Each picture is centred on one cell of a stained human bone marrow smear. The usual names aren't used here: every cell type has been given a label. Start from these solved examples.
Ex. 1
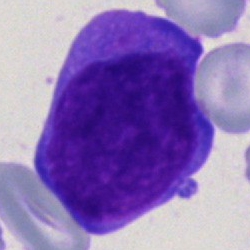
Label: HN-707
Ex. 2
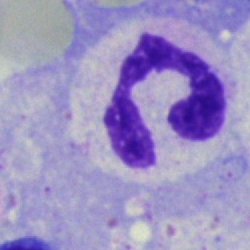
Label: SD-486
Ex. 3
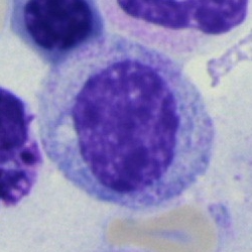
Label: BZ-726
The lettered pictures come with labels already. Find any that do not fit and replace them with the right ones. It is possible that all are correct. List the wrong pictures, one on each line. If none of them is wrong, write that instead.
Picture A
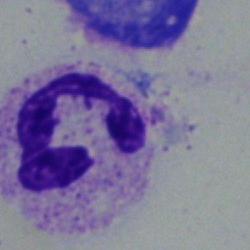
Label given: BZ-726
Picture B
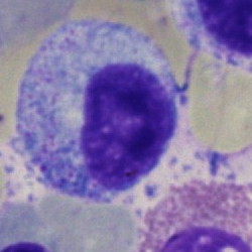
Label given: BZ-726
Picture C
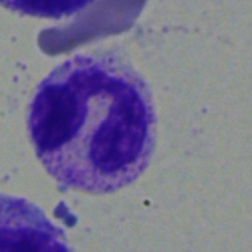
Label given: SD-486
A: not BZ-726 but SD-486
